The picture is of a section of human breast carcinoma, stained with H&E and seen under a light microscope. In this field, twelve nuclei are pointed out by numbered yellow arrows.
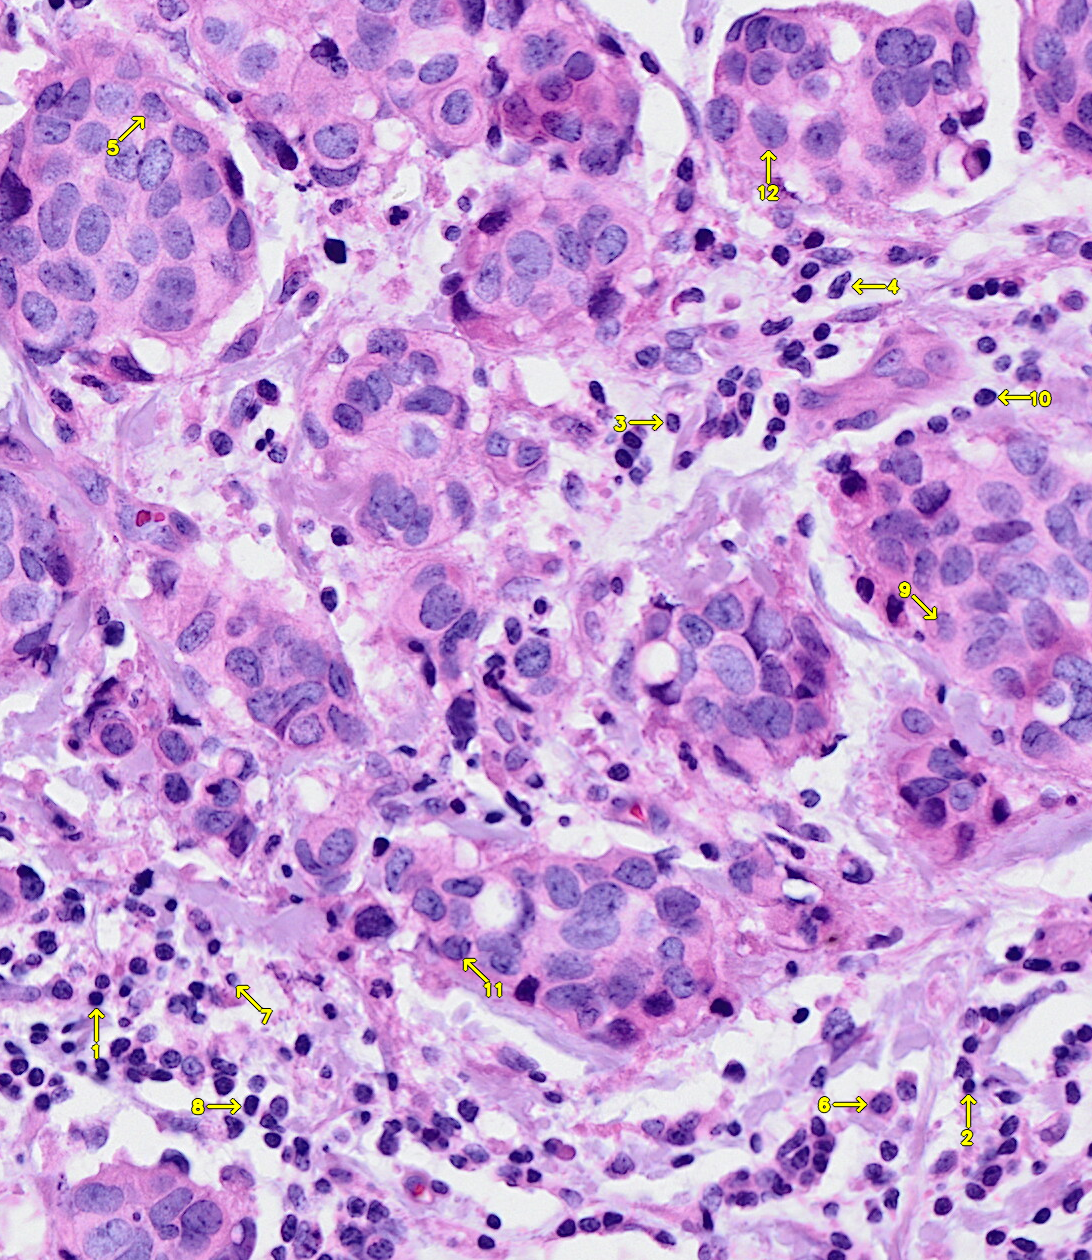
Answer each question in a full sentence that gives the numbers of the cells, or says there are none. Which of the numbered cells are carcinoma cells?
Classified as carcinoma cells are the cells numbered 5, 9, 11 and 12.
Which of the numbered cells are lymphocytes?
When it comes to cells 1, 2, 3, 4, 7, 8 and 10, they are lymphocytes.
